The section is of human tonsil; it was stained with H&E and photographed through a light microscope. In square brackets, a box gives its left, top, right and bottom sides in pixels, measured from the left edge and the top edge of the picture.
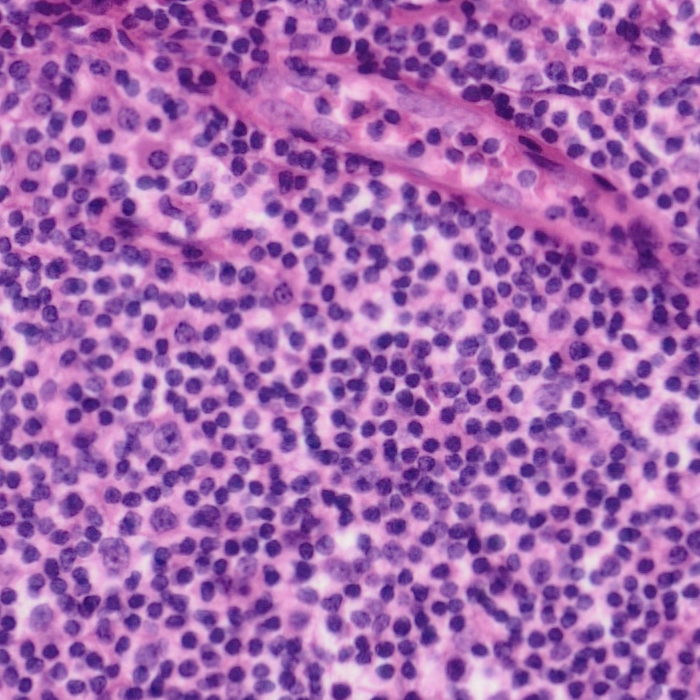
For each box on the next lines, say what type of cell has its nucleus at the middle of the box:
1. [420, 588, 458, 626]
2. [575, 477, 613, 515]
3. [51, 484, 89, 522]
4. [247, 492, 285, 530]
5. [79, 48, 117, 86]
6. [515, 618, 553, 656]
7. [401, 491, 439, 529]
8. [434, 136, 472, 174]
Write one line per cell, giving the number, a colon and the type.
1: small lymphocyte
2: small lymphocyte
3: proliferating B cell
4: small lymphocyte
5: plasma cell
6: small lymphocyte
7: small lymphocyte
8: endothelial cell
